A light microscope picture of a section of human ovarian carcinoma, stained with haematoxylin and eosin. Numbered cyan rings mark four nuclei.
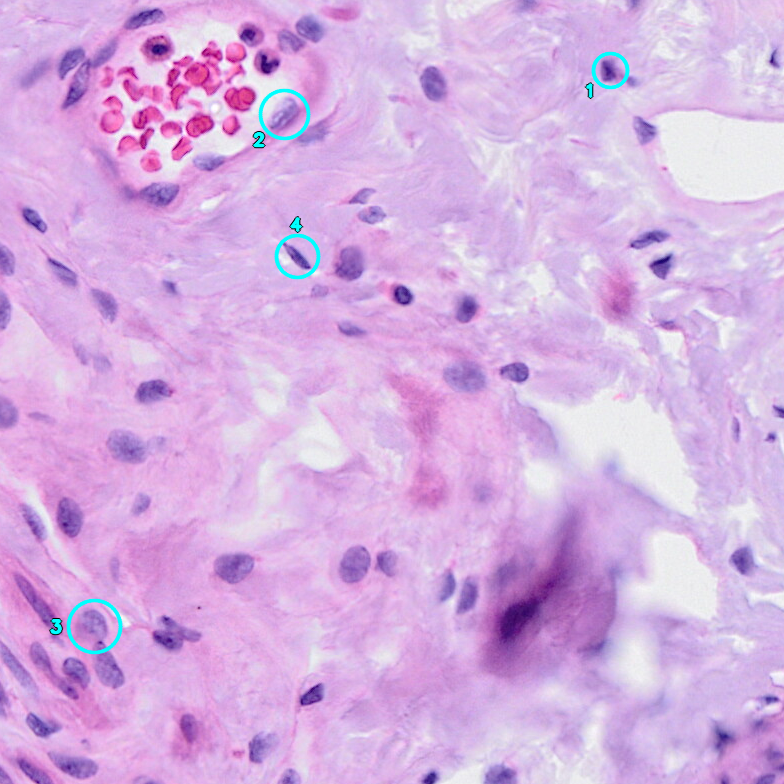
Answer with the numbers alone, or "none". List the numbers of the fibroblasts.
1, 3, 4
